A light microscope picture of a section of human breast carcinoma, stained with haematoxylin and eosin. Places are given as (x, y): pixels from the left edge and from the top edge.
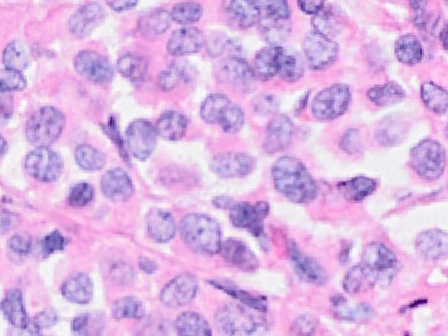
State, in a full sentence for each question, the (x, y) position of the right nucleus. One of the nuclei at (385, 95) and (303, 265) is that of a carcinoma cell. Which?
It is at (385, 95) that the nucleus of a carcinoma cell is found.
